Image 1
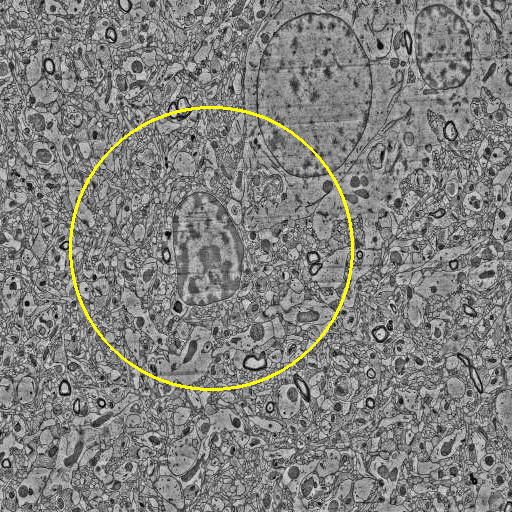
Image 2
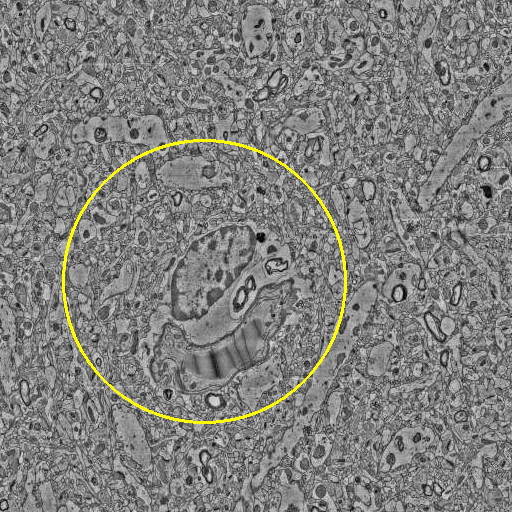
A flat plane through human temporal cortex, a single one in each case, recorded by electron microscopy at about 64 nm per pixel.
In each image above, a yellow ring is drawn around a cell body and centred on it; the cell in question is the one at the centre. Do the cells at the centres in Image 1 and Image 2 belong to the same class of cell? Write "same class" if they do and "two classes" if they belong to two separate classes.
same class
